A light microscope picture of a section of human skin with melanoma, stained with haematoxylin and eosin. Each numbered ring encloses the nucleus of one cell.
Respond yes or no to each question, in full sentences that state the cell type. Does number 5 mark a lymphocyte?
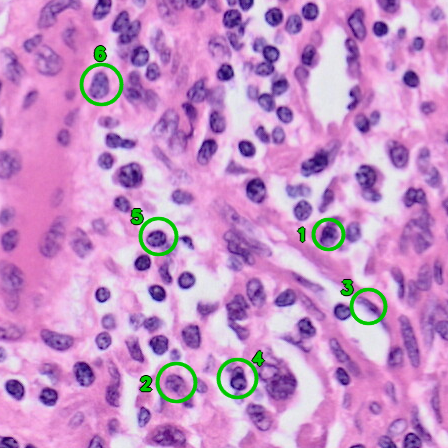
Yes, in this section the cell numbered 5 is a lymphocyte.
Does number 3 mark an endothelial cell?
Yes, the marked cell number 3 is an endothelial cell.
